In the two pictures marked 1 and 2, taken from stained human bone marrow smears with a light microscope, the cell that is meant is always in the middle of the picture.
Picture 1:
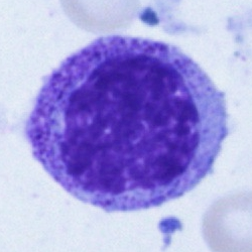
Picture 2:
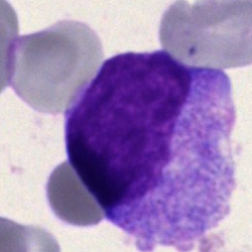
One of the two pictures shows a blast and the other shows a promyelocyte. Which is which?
1: promyelocyte
2: blast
